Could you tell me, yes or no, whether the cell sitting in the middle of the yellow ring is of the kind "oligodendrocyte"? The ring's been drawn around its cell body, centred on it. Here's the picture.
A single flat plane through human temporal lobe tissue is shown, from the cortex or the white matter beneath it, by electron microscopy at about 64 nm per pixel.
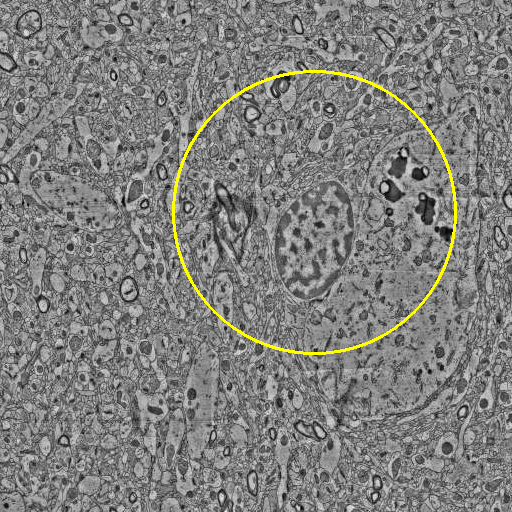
No, it is of another kind.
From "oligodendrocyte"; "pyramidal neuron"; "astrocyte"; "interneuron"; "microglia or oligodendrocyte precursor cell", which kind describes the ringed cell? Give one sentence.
The cell at the middle of the ring is a microglial cell or oligodendrocyte precursor cell.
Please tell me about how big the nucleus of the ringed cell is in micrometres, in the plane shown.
The nucleus is approximately 8 micrometres long but only about 5 wide, clearly longer than it is wide in this plane.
